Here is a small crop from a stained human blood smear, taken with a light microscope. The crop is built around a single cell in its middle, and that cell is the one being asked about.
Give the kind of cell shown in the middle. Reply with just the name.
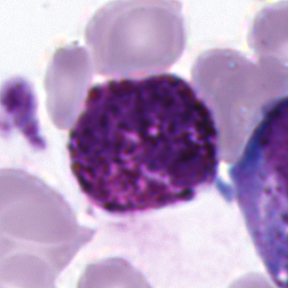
basophil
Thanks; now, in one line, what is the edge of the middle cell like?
The border of this cell runs smooth and free of any projections.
